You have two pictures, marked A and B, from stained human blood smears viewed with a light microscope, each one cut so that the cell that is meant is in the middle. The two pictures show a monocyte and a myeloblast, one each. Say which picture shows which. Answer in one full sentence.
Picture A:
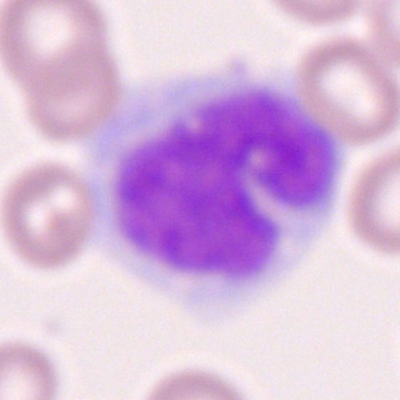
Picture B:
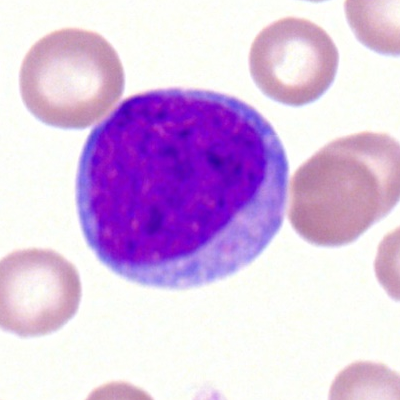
Picture A is of a monocyte, and picture B is of a myeloblast.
